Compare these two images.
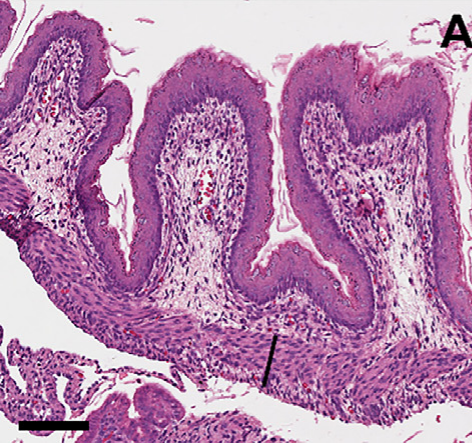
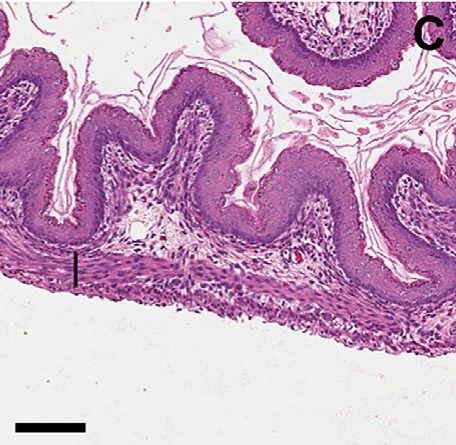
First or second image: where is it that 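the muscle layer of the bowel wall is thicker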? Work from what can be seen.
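The first image. Second image: the outer band of spindle-shaped cells is thin, crossed by a short line. First image: the outer band of spindle-shaped cells is broad, crossed by a longer line.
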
